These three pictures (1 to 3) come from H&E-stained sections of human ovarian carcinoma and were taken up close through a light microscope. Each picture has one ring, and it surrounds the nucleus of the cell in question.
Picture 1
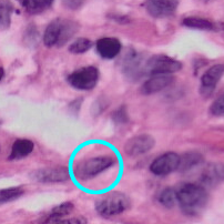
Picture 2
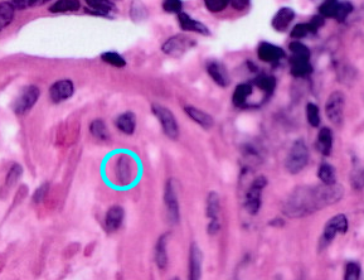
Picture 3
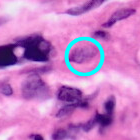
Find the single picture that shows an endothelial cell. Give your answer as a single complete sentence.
The endothelial cell is the one in picture 1.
